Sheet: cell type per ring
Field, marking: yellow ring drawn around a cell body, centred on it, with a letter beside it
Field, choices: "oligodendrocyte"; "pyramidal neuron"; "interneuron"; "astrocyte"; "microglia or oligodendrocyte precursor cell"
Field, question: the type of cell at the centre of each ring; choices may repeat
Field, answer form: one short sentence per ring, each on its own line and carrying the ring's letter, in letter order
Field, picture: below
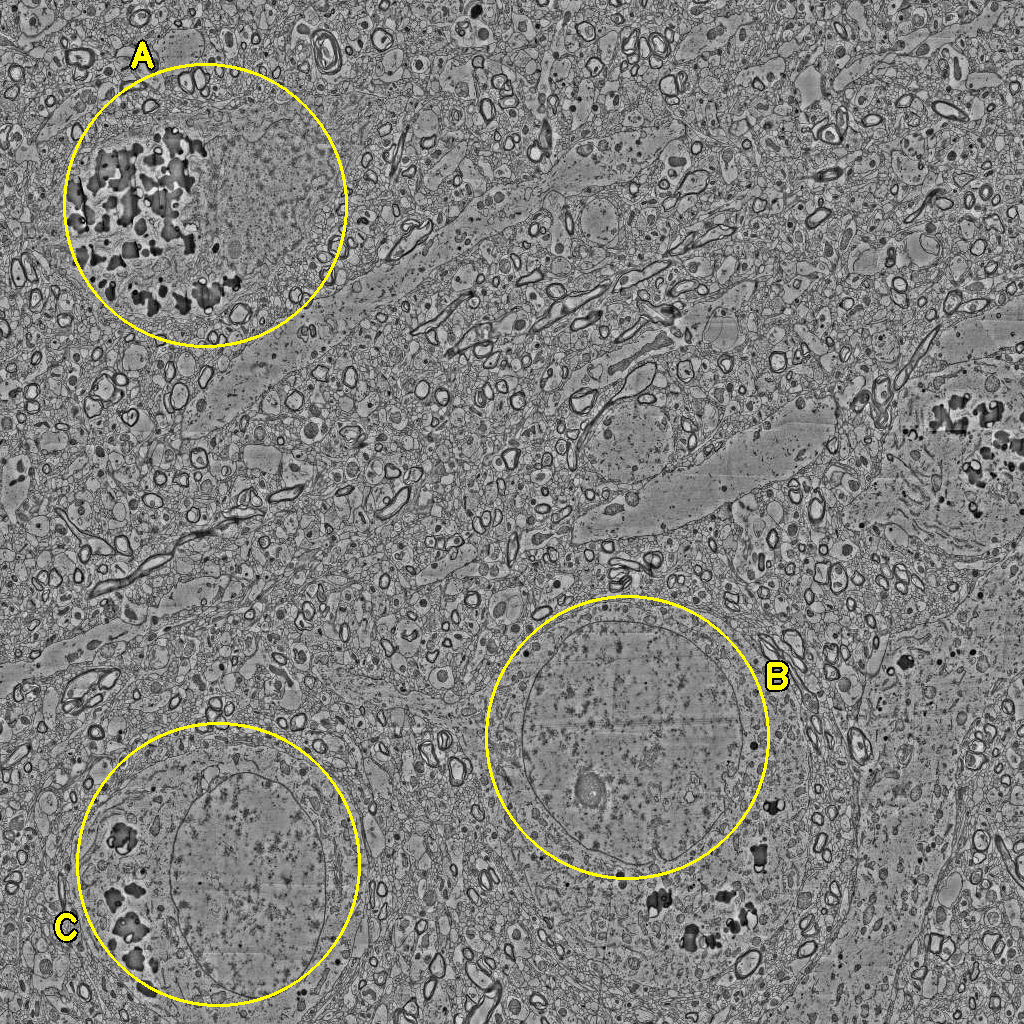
The cell body inside ring A, at its centre, is an interneuron.
The cell body inside ring B, at its centre, is a pyramidal neuron.
The cell body inside ring C, at its centre, is a pyramidal neuron.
